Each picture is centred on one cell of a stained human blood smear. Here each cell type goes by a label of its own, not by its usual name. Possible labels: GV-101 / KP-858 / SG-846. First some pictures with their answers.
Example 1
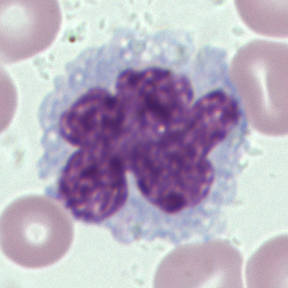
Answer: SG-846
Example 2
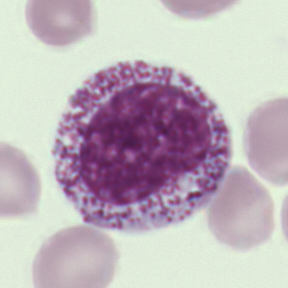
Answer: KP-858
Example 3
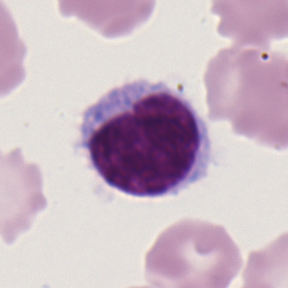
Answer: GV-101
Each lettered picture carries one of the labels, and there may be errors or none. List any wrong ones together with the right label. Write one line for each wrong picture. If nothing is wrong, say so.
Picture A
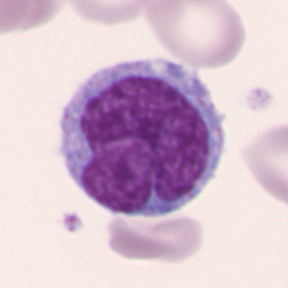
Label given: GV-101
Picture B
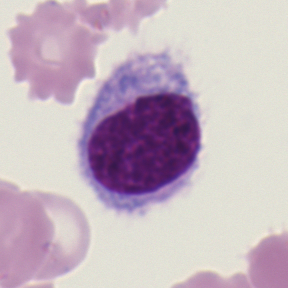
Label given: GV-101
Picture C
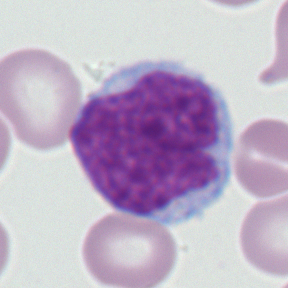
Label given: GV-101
Wrong: A (GV-101); correct: SG-846
Wrong: C (GV-101); correct: SG-846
